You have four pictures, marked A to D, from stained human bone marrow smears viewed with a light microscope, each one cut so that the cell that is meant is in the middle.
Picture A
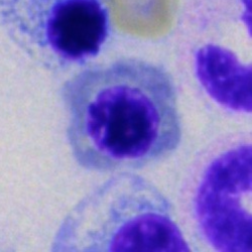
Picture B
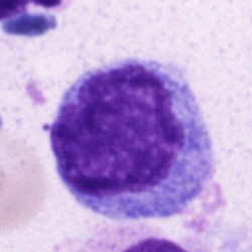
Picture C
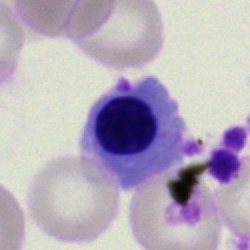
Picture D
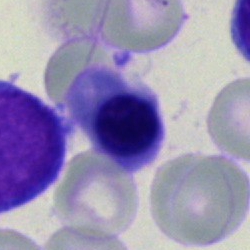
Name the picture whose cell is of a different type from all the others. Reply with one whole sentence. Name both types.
Picture B differs, because its cell is a blast and the rest are erythroblasts.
